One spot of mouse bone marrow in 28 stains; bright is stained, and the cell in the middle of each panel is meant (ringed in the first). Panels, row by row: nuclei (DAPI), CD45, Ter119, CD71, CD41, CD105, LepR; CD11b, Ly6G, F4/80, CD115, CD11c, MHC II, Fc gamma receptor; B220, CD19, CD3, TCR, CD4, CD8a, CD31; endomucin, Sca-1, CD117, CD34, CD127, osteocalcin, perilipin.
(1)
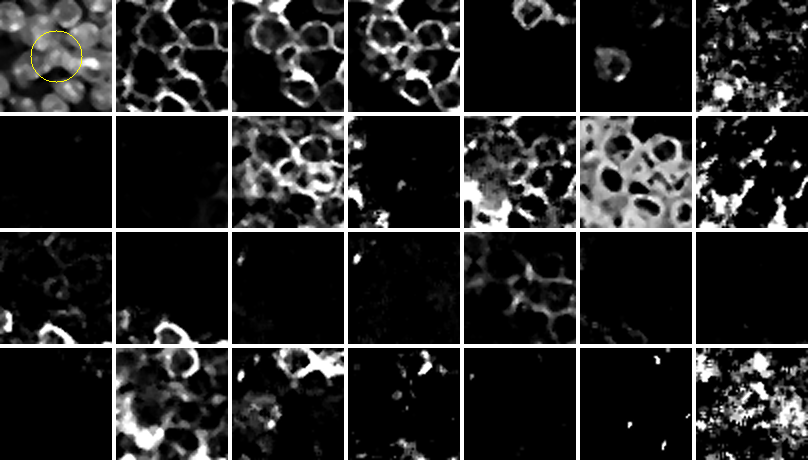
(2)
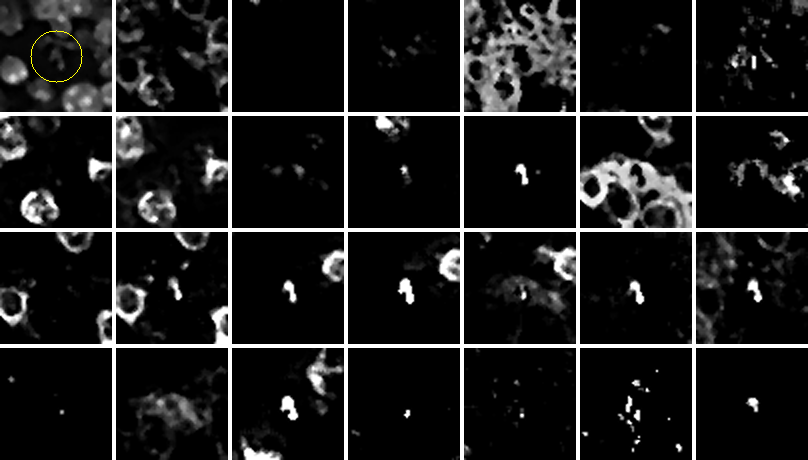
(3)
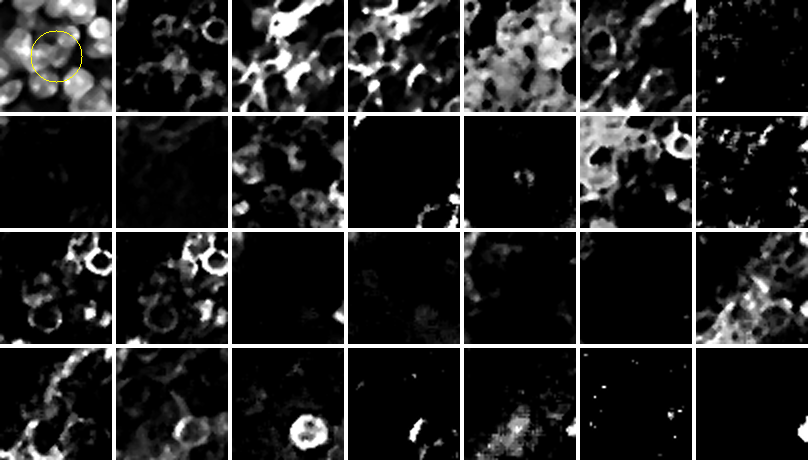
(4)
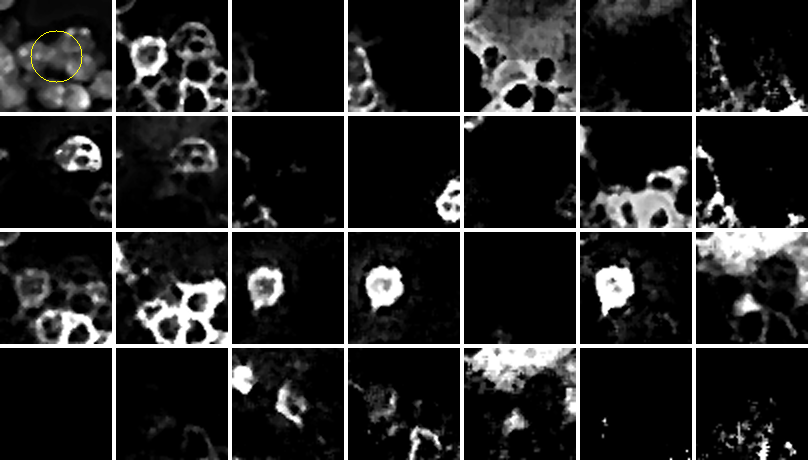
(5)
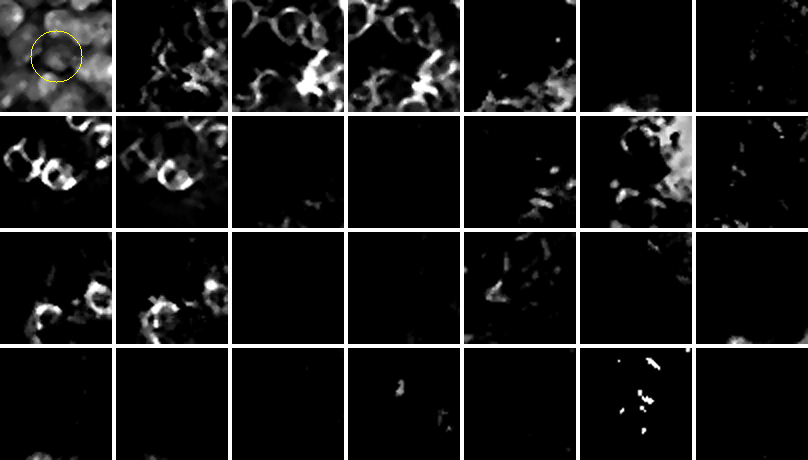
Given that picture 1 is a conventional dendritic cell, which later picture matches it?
2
